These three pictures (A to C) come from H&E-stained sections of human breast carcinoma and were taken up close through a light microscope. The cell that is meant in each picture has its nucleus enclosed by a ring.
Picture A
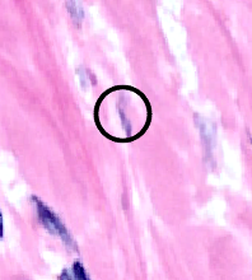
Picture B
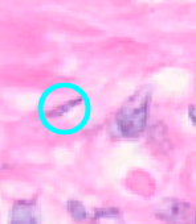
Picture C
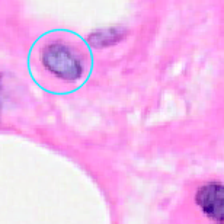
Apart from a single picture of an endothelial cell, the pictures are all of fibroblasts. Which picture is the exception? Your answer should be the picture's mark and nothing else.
C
